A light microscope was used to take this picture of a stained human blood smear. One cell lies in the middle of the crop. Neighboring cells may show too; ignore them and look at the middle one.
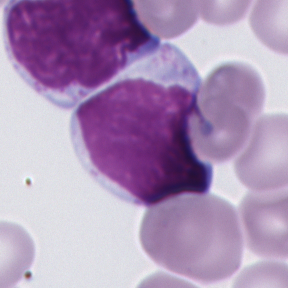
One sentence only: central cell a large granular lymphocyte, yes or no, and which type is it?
Yes, the cell in the middle is a large granular lymphocyte.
